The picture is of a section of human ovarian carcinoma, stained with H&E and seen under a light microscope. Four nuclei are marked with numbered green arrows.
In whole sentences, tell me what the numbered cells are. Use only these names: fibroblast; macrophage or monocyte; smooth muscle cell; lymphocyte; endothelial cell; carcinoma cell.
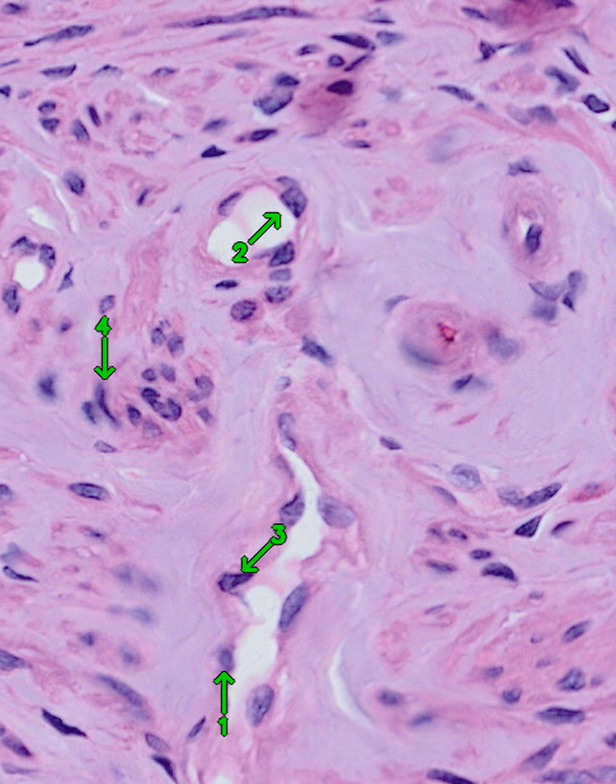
Cells 1, 2 and 3 are endothelial cells. Cell 4 is a smooth muscle cell.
